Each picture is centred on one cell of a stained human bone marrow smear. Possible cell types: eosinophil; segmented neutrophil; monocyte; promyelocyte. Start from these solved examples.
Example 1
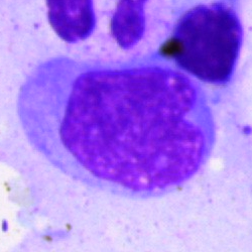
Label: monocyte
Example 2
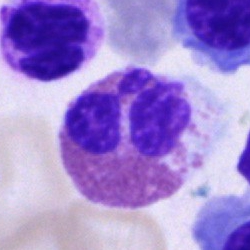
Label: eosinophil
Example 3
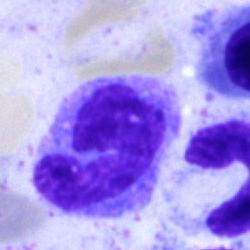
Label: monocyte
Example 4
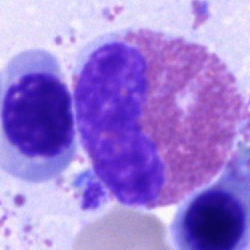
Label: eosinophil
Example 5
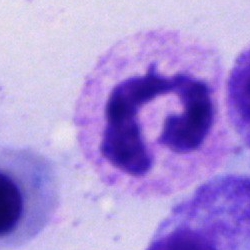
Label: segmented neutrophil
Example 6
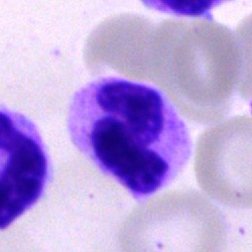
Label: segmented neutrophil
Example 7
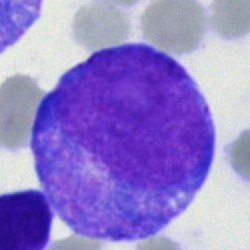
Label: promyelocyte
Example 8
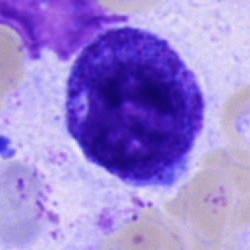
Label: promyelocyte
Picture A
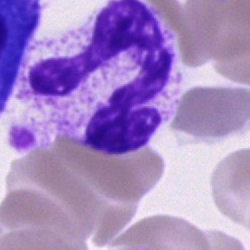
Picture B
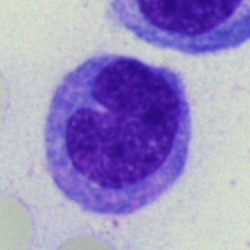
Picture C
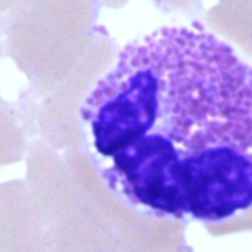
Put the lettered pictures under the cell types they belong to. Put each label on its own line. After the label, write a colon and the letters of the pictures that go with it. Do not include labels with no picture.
eosinophil: C
segmented neutrophil: A
monocyte: B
